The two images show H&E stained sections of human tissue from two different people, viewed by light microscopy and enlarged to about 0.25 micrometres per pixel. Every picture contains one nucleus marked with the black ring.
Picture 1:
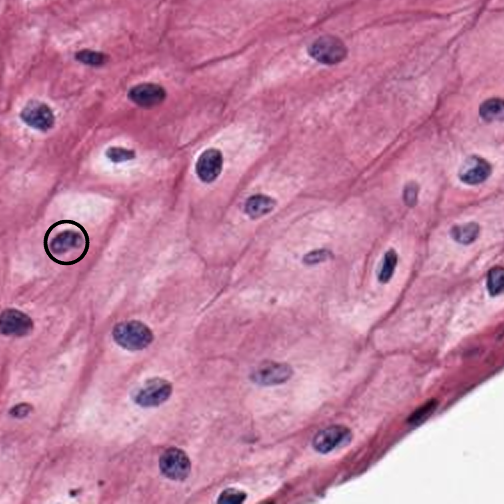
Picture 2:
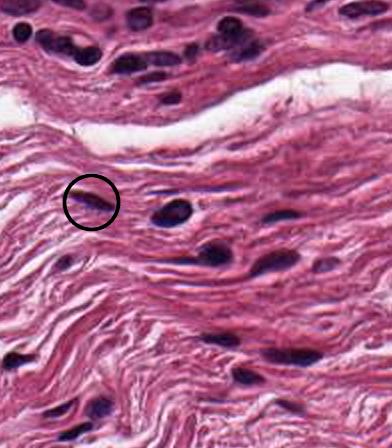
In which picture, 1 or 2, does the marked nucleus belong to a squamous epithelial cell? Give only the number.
1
